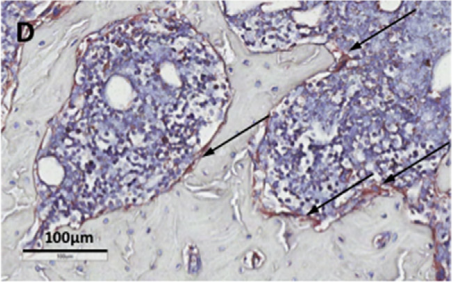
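Two marrow spaces are packed with small round cells with dark blue nuclei, interspersed with round empty fat vacuoles. The surrounding bone is pale with osteocytes in lacunae. A thin brown-stained lining runs along the edges where marrow meets bone. Some cells within the marrow also show faint brown staining.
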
